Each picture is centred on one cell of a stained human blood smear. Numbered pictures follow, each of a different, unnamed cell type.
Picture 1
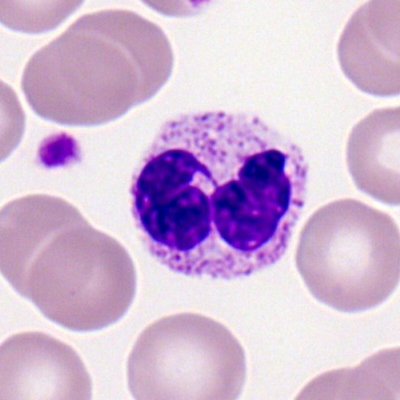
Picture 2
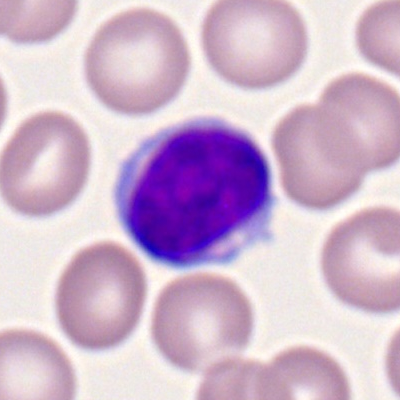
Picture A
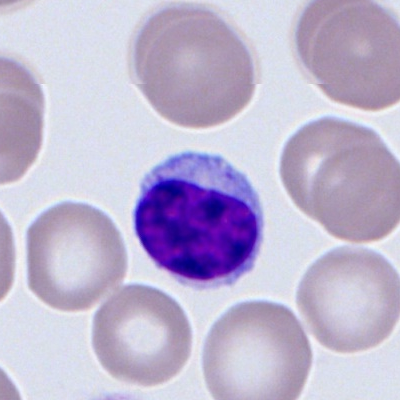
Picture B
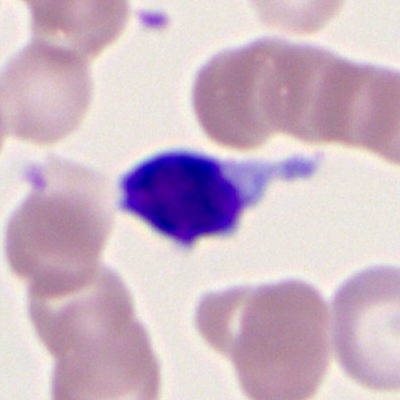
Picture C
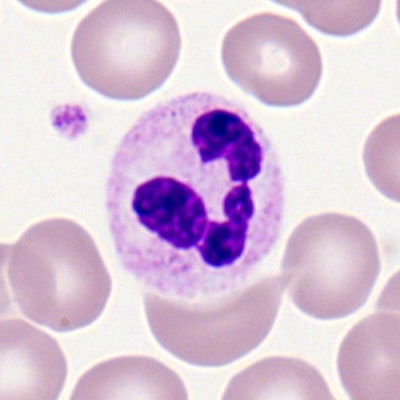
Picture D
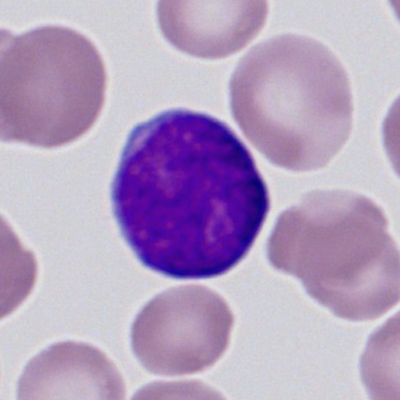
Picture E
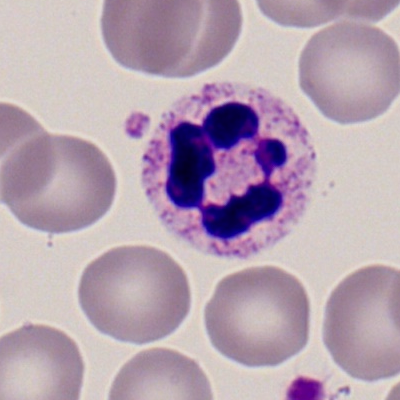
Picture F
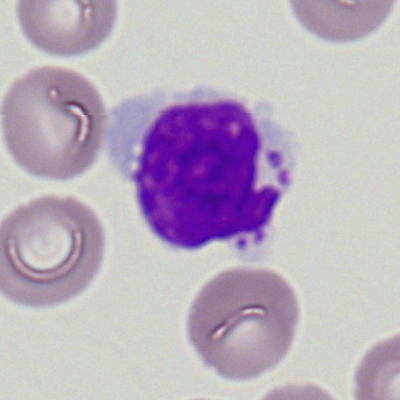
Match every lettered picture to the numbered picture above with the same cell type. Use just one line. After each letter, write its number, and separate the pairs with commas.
A 2, B 2, C 1, D 2, E 1, F 2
